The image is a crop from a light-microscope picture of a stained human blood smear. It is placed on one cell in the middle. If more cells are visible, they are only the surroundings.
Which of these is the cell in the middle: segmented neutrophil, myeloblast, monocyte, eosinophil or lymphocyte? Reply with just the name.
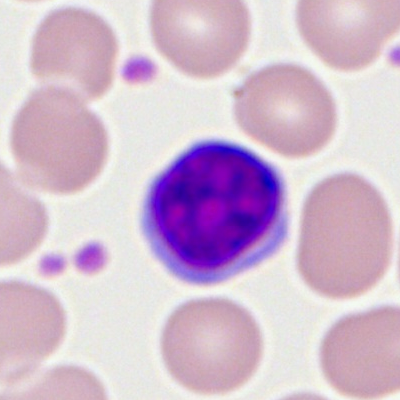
lymphocyte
